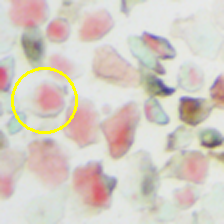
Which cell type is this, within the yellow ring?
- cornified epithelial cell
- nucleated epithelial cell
Within the ring is a nucleated epithelial cell.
